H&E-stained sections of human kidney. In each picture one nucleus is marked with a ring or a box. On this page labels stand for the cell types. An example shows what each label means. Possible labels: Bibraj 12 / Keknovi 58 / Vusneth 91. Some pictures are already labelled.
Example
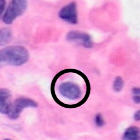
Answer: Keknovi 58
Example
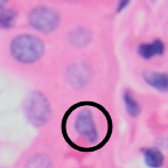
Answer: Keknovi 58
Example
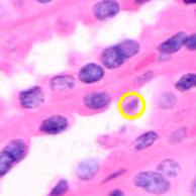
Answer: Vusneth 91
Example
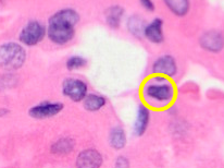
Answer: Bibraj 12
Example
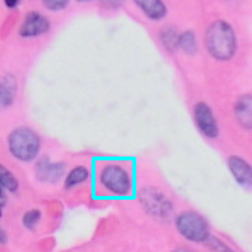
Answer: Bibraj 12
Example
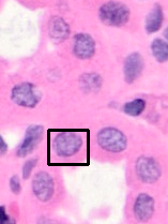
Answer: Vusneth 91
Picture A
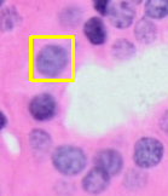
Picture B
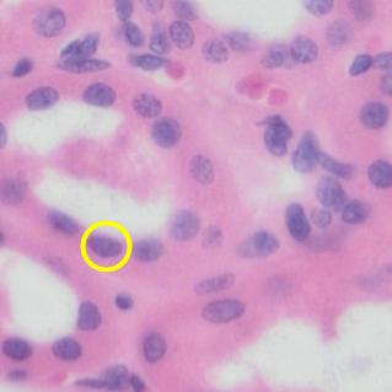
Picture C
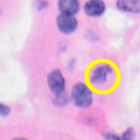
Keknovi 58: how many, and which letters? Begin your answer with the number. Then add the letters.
0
